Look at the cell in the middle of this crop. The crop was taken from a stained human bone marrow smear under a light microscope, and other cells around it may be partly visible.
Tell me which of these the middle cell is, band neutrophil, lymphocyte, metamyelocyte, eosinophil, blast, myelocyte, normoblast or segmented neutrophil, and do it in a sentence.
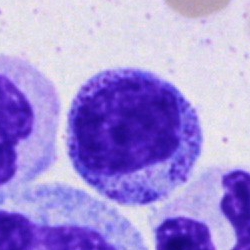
The cell at the central position in this crop is a myelocyte.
